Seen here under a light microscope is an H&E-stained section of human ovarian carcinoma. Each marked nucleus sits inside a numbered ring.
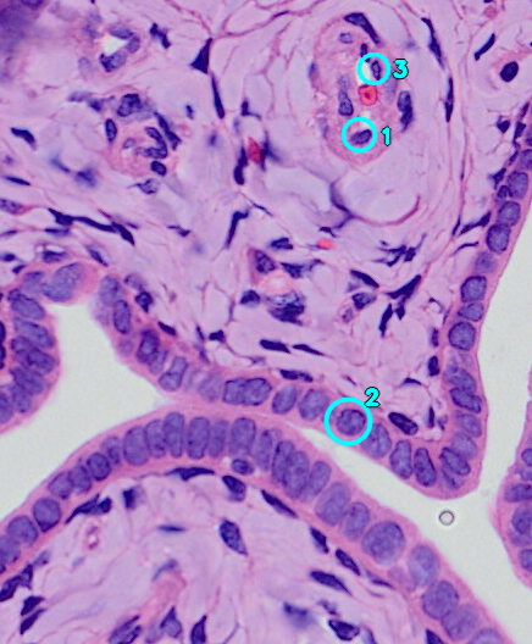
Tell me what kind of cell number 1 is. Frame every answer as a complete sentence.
The cell referred to as 1 is an endothelial cell.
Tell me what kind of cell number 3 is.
The cell that carries the label 3 is an endothelial cell.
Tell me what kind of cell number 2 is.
Denoted by the label 2 in the section is a carcinoma cell.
